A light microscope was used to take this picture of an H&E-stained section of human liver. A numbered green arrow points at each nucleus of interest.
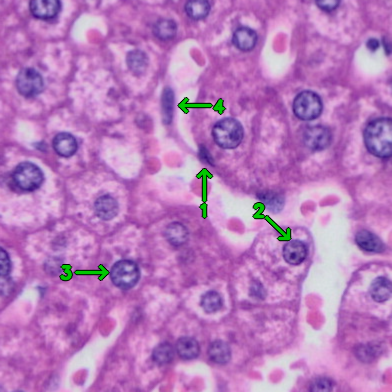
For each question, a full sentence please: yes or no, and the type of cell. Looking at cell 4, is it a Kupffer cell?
Yes, the cell that the number 4 labels is a Kupffer cell.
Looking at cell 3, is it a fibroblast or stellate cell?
No, it is a hepatocyte, not a fibroblast or stellate cell, that number 3 marks.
